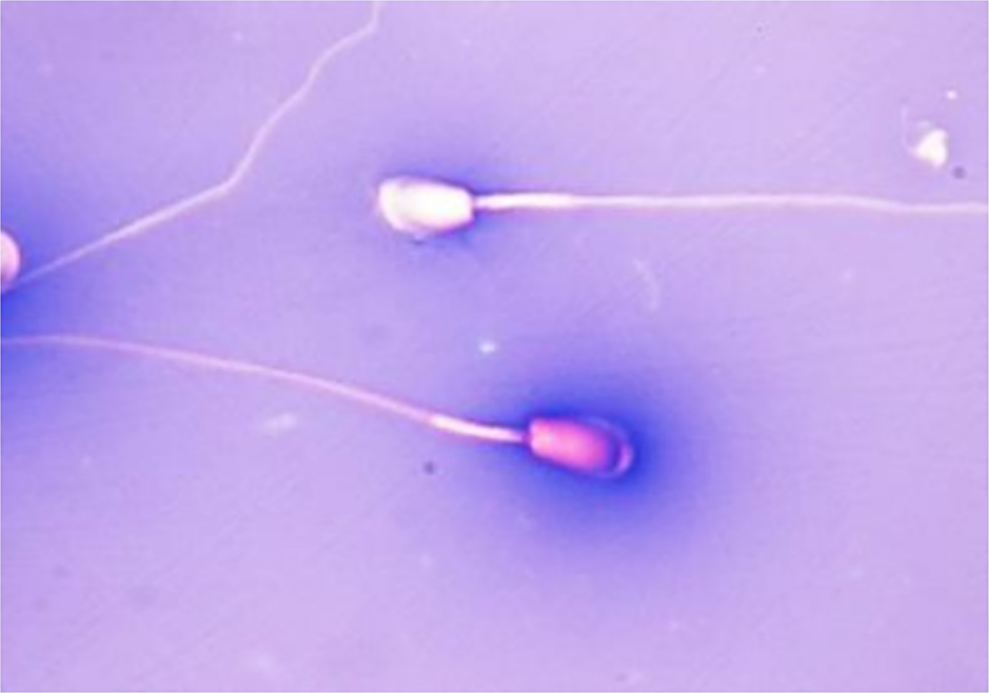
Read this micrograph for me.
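These are spermatozoa spread in a smear on a violet-blue background, each with an oval head, a short thicker midpiece and a long thin tail. A darker blue halo surrounds the pink head.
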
